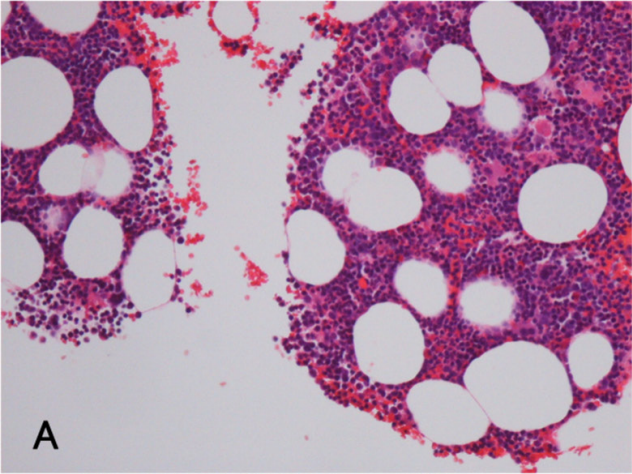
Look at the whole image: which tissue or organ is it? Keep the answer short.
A: Bone marrow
